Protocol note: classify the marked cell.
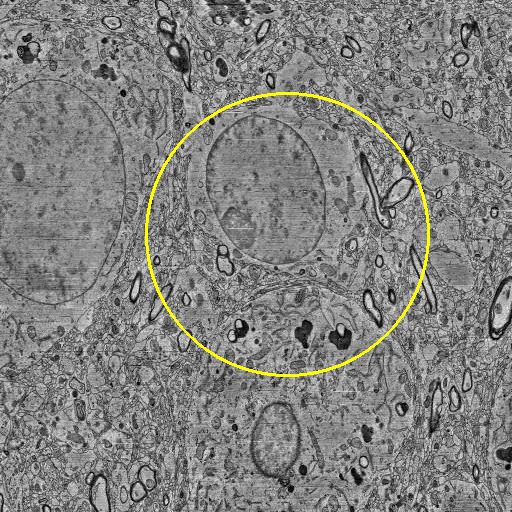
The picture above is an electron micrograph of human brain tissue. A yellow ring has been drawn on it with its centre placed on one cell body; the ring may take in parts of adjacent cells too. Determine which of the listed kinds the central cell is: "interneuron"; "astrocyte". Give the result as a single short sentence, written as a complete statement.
The central cell is an astrocyte.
